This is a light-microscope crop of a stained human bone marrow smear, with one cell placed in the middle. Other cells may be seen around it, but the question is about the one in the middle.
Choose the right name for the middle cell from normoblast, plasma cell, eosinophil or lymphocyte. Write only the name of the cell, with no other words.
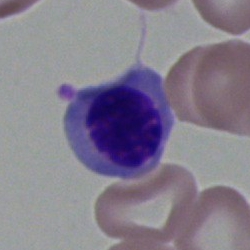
normoblast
